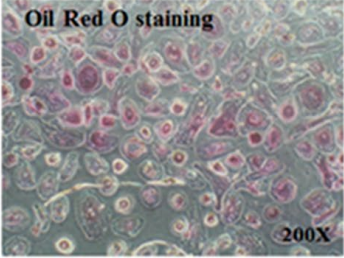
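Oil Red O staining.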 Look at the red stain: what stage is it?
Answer: Adipogenic differentiation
